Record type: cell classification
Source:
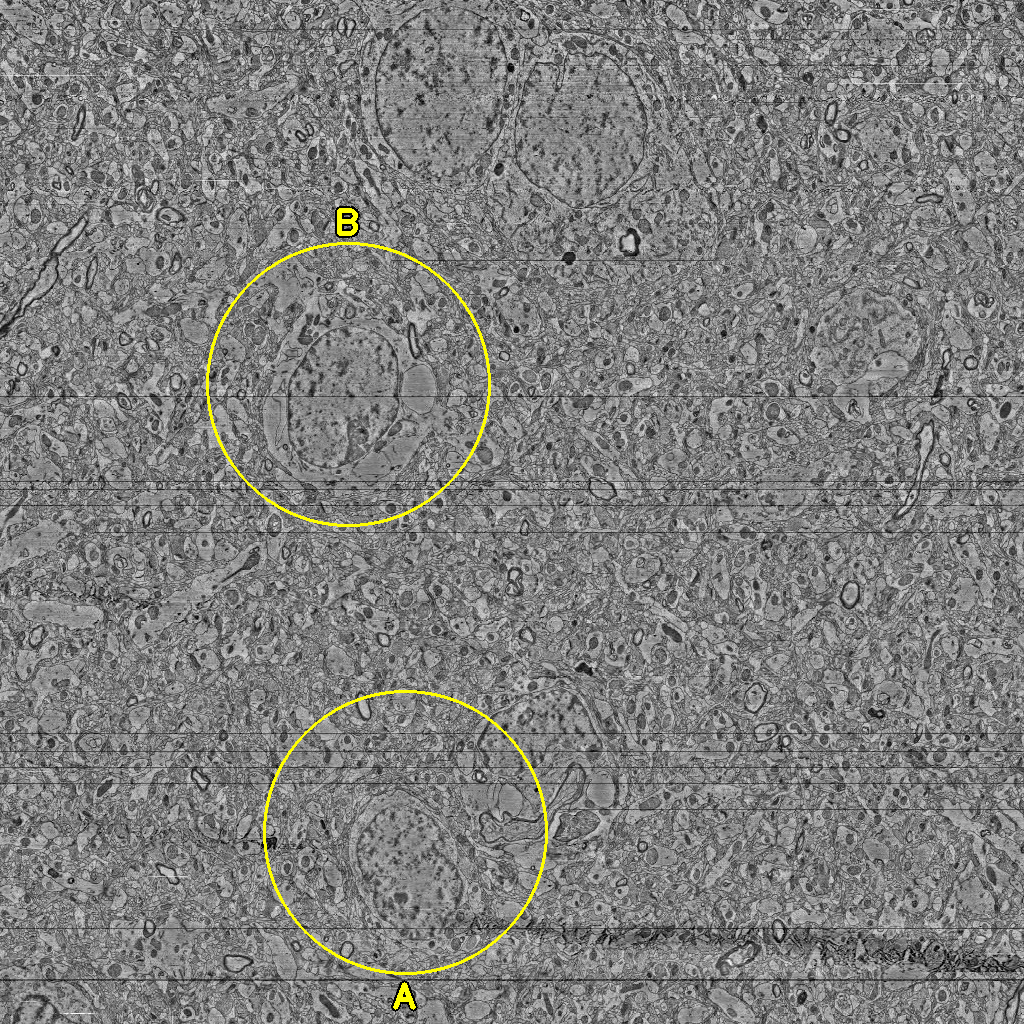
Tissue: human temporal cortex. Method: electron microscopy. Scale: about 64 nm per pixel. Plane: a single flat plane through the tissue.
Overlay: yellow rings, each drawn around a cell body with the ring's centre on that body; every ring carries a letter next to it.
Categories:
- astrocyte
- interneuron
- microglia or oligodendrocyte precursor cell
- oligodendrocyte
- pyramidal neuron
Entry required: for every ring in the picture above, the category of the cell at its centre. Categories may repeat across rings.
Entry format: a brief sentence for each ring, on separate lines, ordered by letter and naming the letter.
At the centre of ring A lies an interneuron.
At the centre of ring B lies an astrocyte.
